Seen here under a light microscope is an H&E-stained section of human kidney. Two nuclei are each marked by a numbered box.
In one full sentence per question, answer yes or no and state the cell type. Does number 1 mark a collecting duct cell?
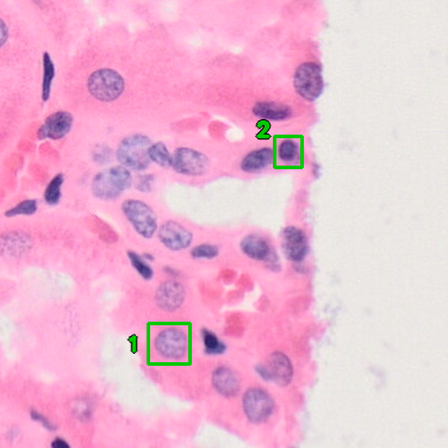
No, what is marked as number 1 is a proximal tubule cell rather than a collecting duct cell.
